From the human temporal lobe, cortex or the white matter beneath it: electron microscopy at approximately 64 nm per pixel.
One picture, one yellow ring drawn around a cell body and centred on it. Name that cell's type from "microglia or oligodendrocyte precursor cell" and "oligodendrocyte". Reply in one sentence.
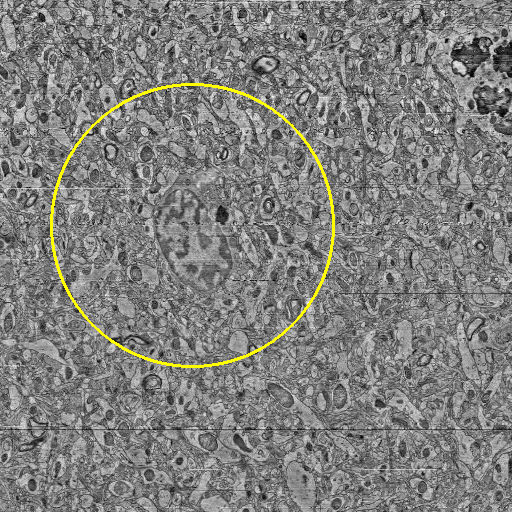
Centred in the ring is an oligodendrocyte.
